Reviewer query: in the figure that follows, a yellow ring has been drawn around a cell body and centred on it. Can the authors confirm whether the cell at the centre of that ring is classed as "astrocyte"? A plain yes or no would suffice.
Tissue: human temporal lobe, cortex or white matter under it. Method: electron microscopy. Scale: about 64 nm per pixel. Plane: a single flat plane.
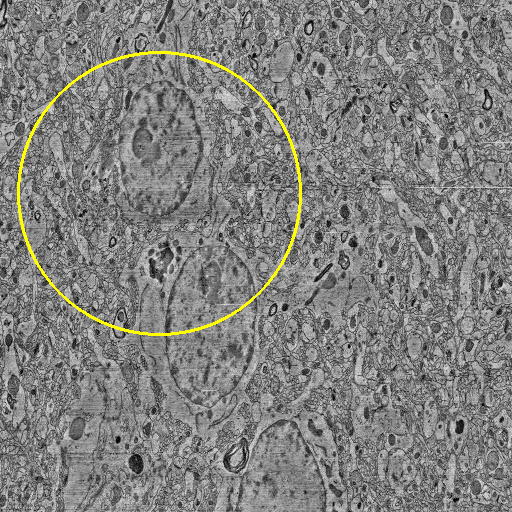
yes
